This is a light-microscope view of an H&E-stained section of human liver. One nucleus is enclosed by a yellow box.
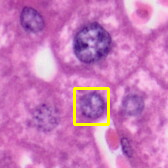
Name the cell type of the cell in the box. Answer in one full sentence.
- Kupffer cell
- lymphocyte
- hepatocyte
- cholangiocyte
As for its identity, the cell in the box is a hepatocyte.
